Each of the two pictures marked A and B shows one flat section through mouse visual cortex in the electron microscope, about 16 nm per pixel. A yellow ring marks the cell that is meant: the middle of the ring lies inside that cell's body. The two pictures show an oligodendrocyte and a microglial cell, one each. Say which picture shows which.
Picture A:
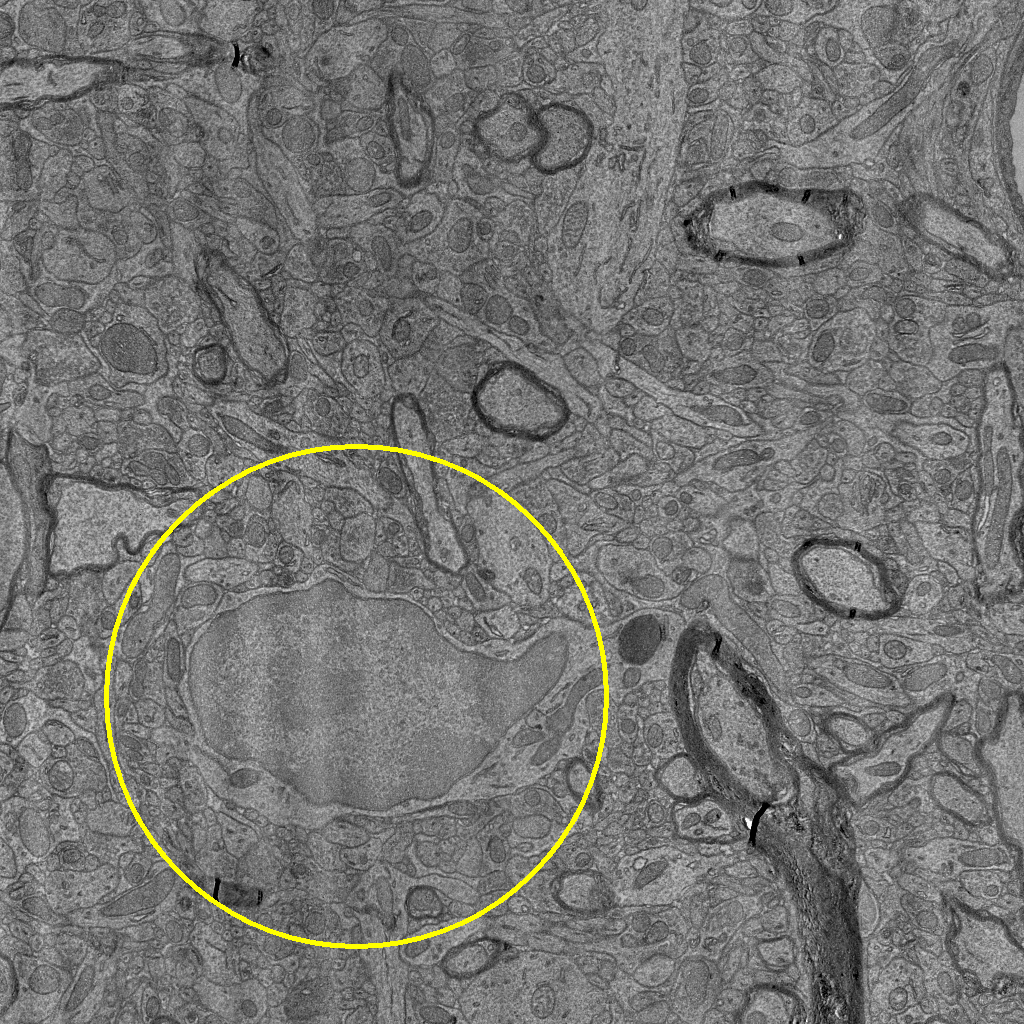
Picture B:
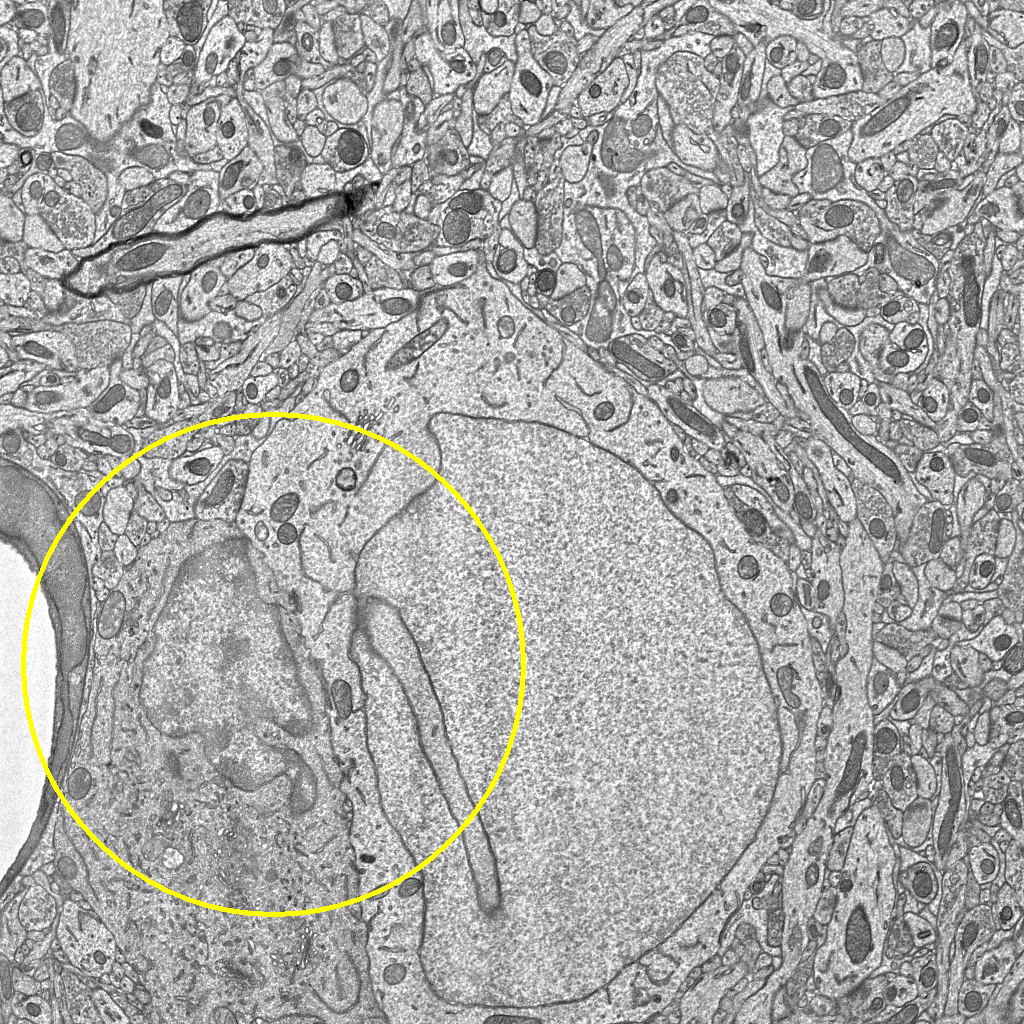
In picture A the cell is a microglial cell; in picture B, an oligodendrocyte.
